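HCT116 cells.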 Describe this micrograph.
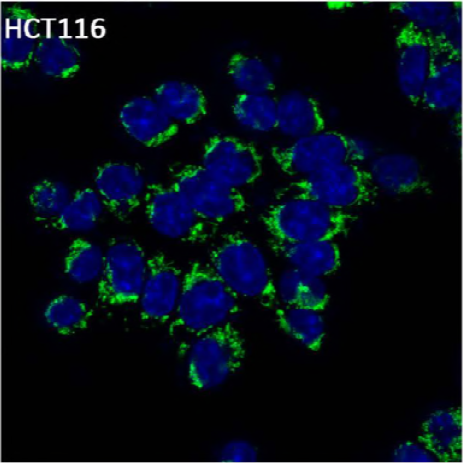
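These are cultured cells growing in a tight cluster, each with a large round to oval nucleus that appears blue. The nuclei fill most of each cell, leaving only a thin rim of cytoplasm around them. The green label lies in that cytoplasm as fine granules and short threads, gathered around the nuclei and often heaped more on one side. Between cell clusters the background is dark and empty, and a few partial cells are cut by the edges of the field.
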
